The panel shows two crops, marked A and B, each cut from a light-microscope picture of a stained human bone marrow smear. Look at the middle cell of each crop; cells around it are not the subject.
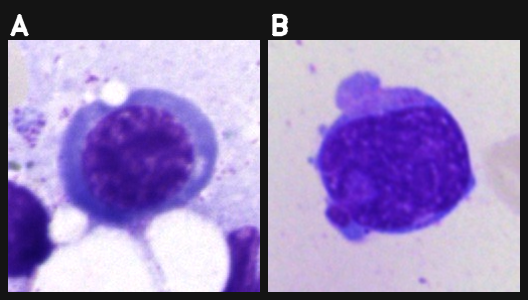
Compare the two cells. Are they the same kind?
no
